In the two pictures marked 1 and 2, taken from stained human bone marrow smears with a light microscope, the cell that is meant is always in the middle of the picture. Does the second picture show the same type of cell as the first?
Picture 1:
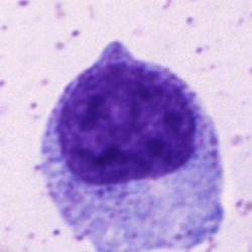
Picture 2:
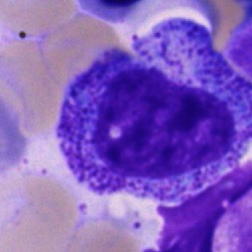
yes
